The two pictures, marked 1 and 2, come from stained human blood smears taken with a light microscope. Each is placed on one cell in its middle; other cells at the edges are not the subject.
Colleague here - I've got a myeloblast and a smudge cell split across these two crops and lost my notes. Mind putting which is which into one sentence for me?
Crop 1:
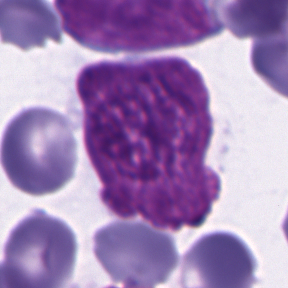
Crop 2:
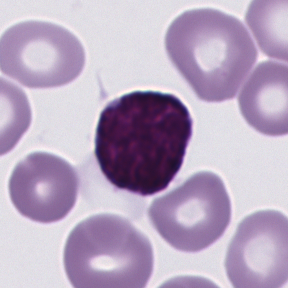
Within crop 1 sits a smudge cell, and within crop 2 sits a myeloblast.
